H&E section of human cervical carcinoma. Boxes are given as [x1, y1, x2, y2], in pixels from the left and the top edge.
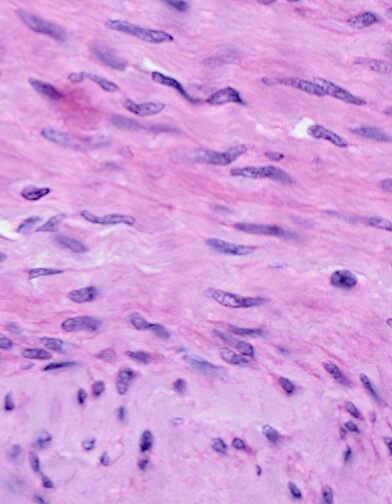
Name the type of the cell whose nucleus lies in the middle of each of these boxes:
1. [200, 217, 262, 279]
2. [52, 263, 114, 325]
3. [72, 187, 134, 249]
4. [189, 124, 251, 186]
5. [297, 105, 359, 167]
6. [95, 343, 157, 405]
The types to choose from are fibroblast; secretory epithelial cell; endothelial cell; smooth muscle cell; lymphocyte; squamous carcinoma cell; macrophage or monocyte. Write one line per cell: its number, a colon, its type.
1: fibroblast
2: fibroblast
3: fibroblast
4: smooth muscle cell
5: fibroblast
6: smooth muscle cell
